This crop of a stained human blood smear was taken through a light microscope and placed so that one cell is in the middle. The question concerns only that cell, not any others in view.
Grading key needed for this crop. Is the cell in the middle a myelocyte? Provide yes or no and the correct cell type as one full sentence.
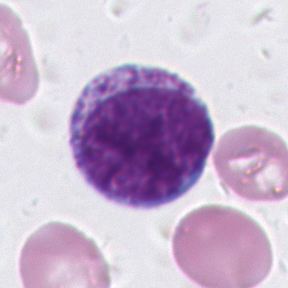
Yes, the cell in the center of this crop is a myelocyte.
